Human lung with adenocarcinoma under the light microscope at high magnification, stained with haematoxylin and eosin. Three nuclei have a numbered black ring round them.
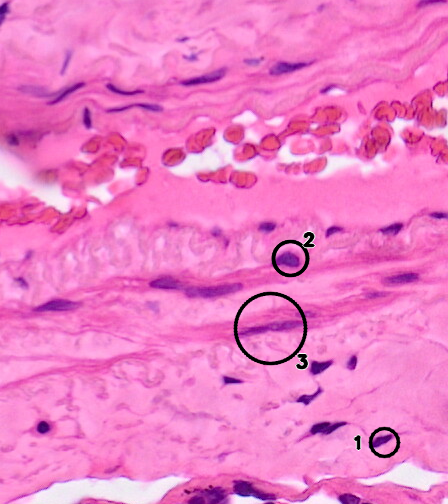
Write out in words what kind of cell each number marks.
Cell 1 is a fibroblast. Cells 2 and 3 are smooth muscle cells or pericytes.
